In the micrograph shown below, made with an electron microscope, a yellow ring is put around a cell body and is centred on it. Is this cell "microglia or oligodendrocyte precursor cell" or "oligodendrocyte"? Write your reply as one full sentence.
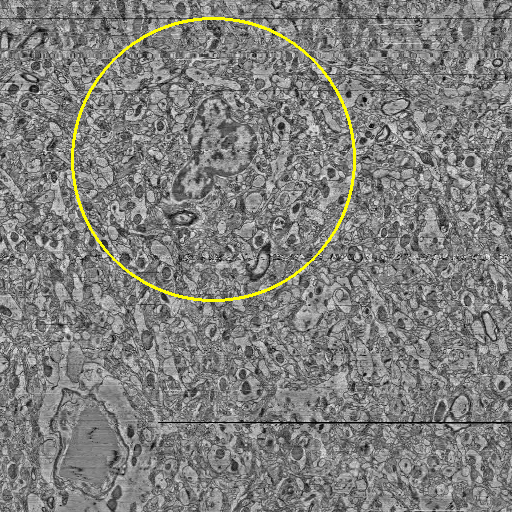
In the micrograph, a microglial cell or oligodendrocyte precursor cell is the cell at the centre of the yellow ring.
